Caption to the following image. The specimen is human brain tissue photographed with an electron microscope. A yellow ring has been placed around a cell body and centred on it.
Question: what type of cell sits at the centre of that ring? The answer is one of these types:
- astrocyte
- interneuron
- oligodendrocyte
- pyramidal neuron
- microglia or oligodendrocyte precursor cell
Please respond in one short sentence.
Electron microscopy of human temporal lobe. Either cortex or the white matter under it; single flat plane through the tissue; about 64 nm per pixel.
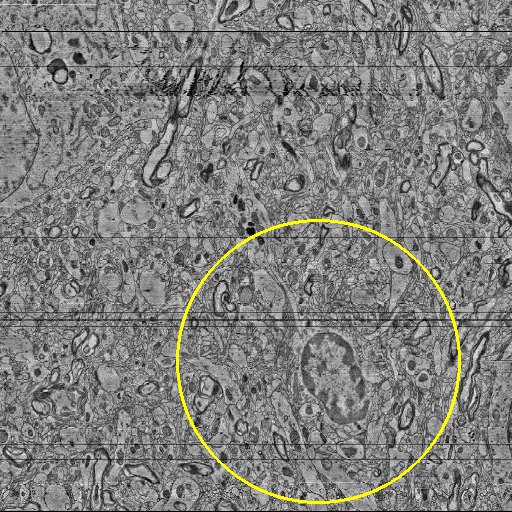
The ring surrounds the cell body of a microglial cell or oligodendrocyte precursor cell.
